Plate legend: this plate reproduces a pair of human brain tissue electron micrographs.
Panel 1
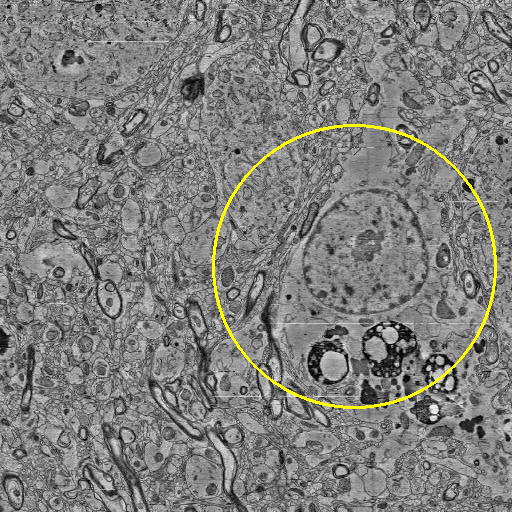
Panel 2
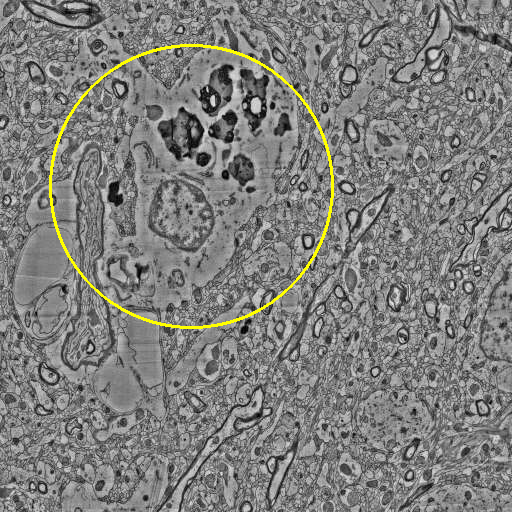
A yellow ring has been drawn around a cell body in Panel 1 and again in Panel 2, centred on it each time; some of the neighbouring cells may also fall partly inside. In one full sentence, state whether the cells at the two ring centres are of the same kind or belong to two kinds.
The ring-centred cells of Panel 1 and Panel 2 are of the same kind.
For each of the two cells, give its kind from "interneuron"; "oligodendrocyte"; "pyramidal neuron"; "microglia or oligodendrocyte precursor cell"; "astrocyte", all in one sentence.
Each cell at the centre of a ring is an astrocyte.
